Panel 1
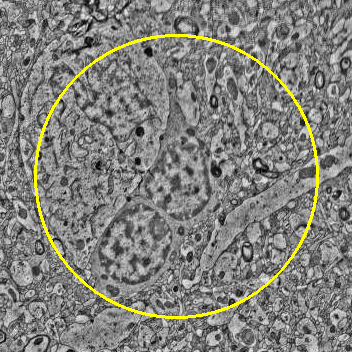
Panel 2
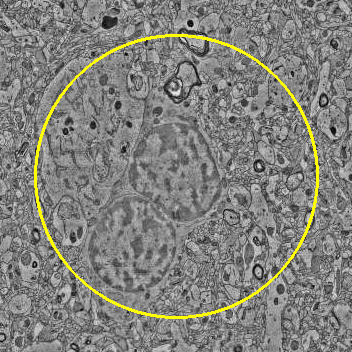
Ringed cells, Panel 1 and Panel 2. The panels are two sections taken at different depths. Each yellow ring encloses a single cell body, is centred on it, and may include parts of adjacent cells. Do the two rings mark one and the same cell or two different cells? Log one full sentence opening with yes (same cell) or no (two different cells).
Yes, a single cell lies behind both yellow marks.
